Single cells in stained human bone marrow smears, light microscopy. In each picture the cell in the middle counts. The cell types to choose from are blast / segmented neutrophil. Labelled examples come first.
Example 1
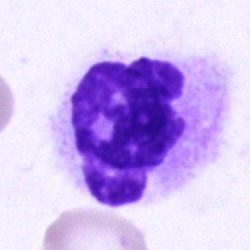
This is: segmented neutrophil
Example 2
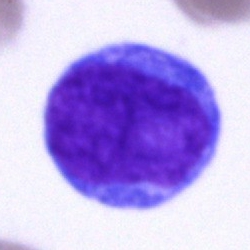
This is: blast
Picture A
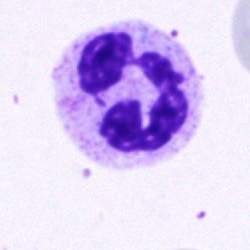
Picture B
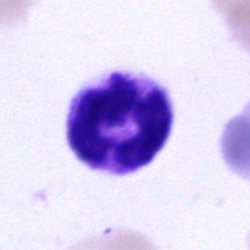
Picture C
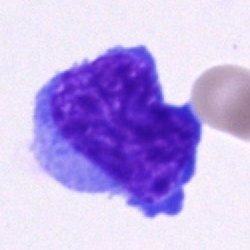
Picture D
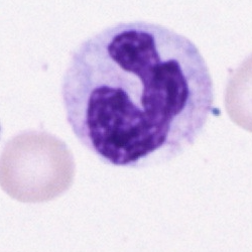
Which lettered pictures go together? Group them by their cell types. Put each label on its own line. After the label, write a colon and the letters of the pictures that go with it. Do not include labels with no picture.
blast: C
segmented neutrophil: A, B, D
